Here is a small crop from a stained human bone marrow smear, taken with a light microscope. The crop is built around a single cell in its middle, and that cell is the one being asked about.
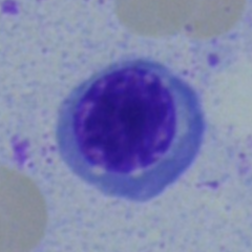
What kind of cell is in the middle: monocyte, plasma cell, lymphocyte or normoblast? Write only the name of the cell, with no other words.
normoblast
